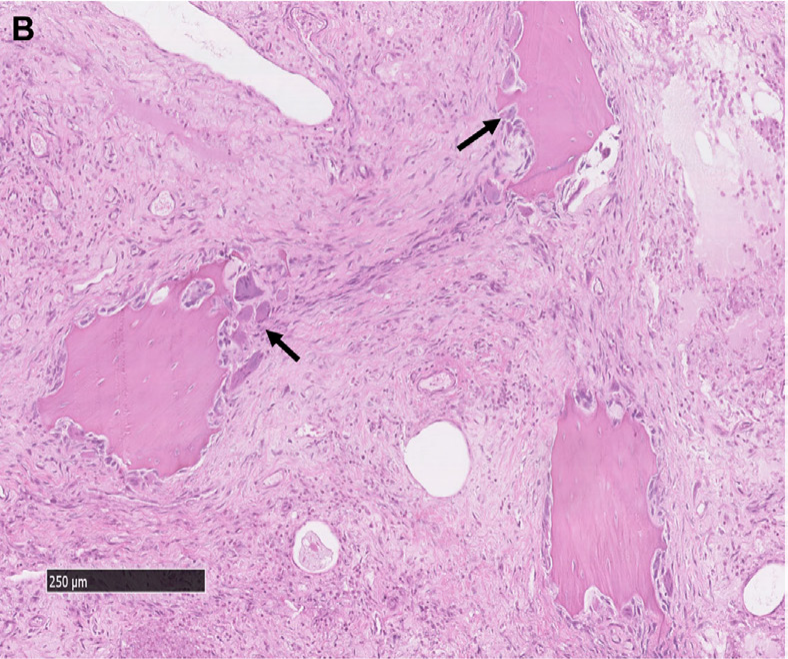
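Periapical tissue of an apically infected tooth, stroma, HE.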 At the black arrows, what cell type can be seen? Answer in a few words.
Osteoclasts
